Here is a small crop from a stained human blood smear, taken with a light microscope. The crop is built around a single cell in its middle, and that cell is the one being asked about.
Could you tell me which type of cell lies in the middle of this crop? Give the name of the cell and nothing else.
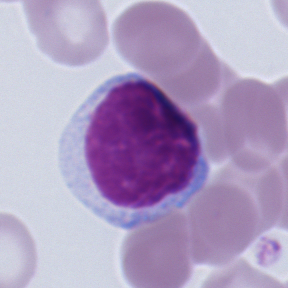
large granular lymphocyte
